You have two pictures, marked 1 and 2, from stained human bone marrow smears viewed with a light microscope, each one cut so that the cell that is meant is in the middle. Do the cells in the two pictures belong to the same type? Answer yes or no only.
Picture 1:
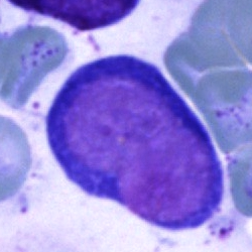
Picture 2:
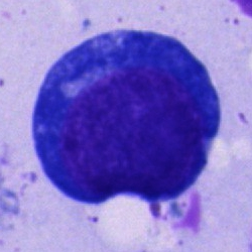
yes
